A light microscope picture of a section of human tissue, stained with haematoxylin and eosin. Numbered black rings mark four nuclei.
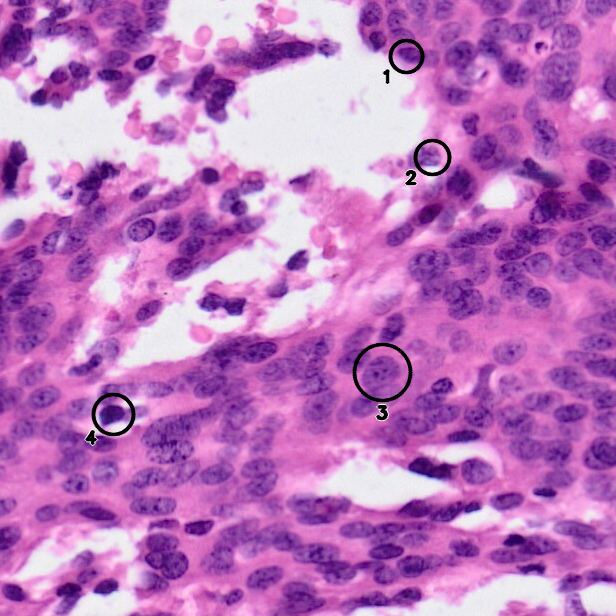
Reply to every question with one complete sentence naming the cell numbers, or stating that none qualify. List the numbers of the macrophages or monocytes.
The sole numbered cell that is a macrophage or monocyte is cell 2.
